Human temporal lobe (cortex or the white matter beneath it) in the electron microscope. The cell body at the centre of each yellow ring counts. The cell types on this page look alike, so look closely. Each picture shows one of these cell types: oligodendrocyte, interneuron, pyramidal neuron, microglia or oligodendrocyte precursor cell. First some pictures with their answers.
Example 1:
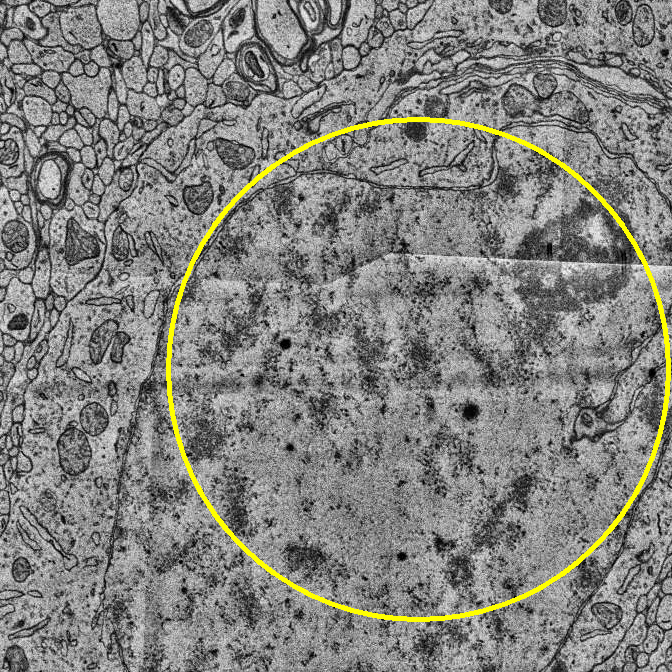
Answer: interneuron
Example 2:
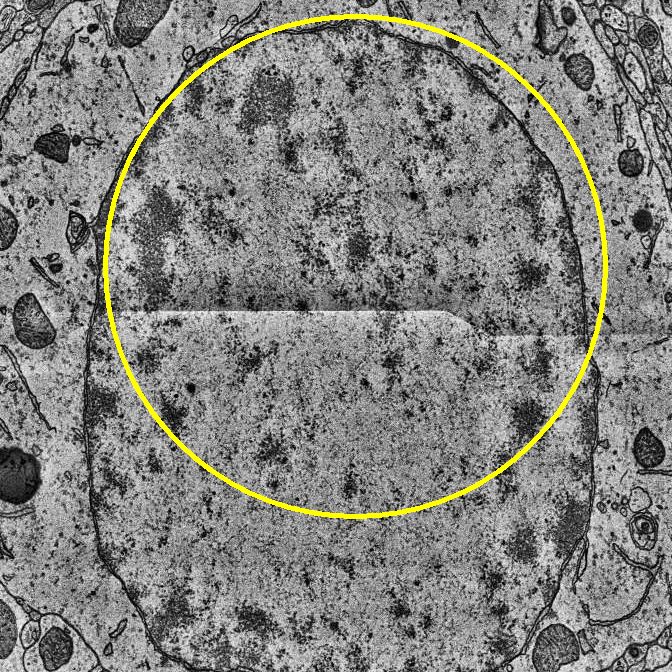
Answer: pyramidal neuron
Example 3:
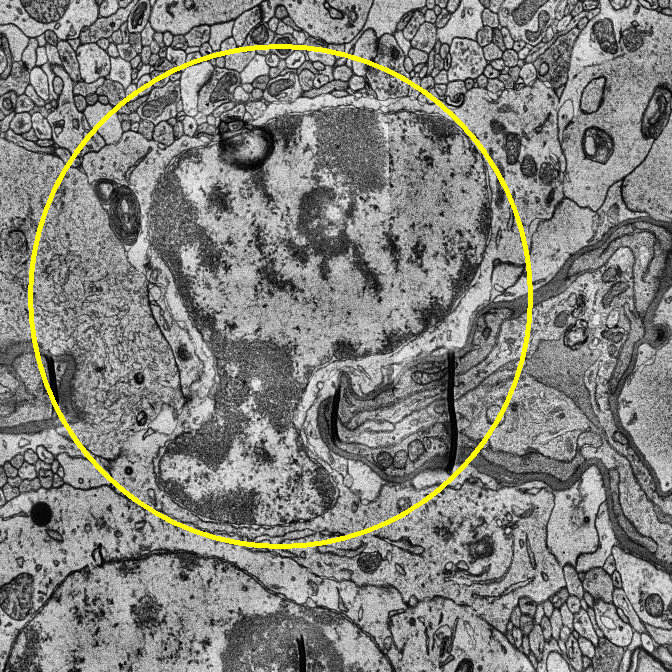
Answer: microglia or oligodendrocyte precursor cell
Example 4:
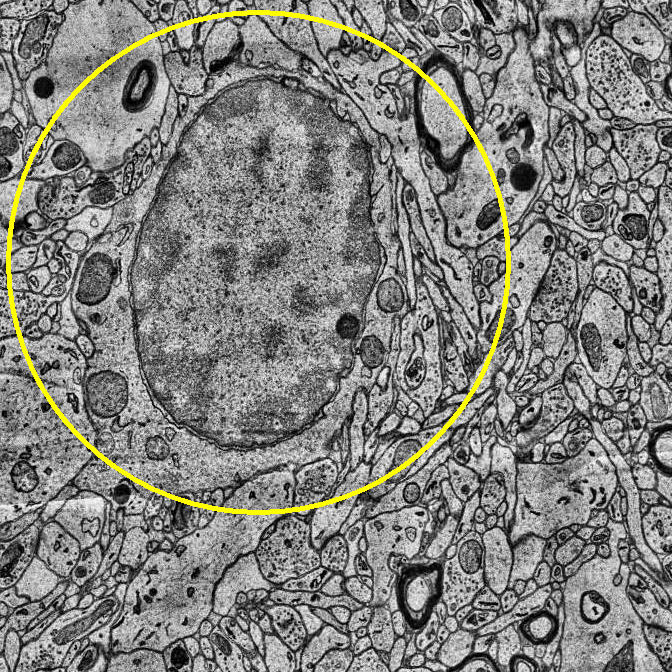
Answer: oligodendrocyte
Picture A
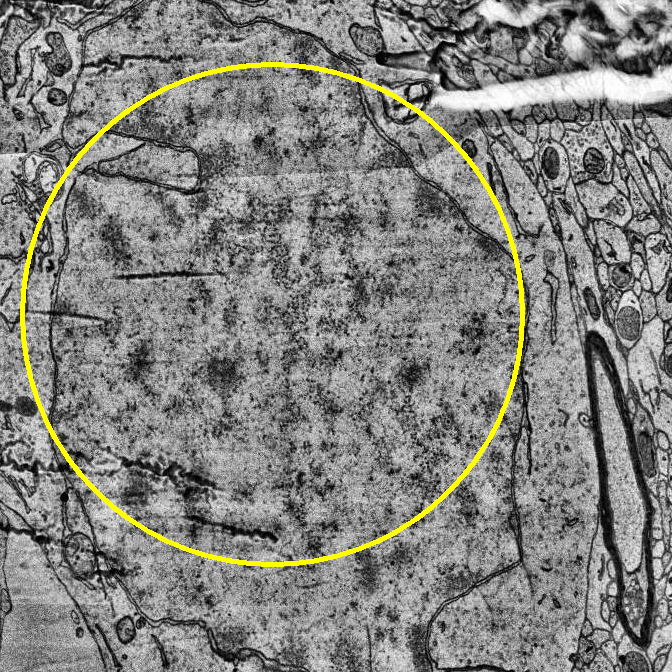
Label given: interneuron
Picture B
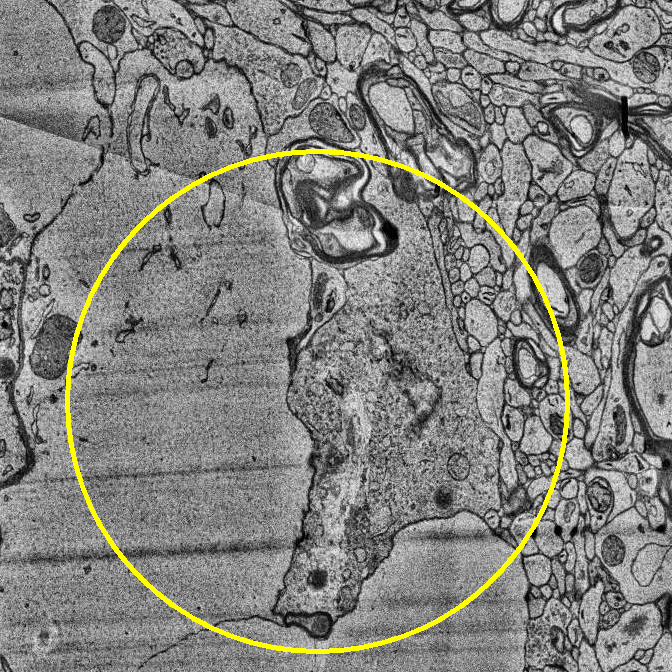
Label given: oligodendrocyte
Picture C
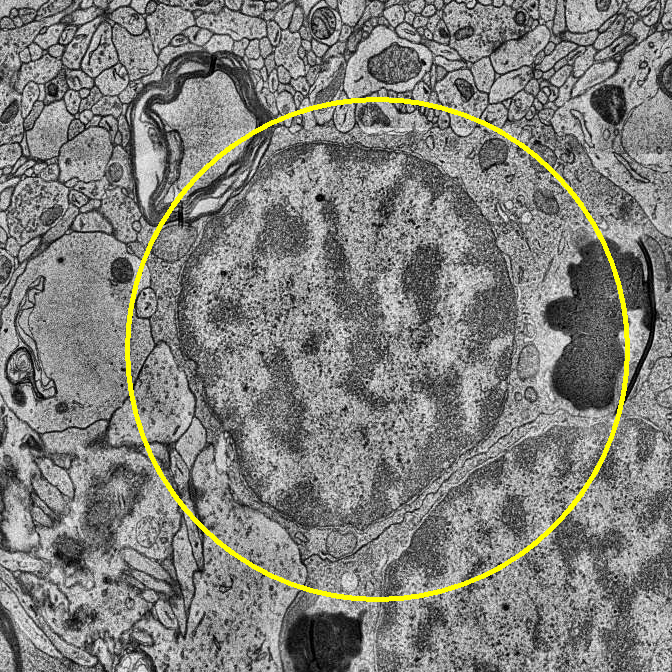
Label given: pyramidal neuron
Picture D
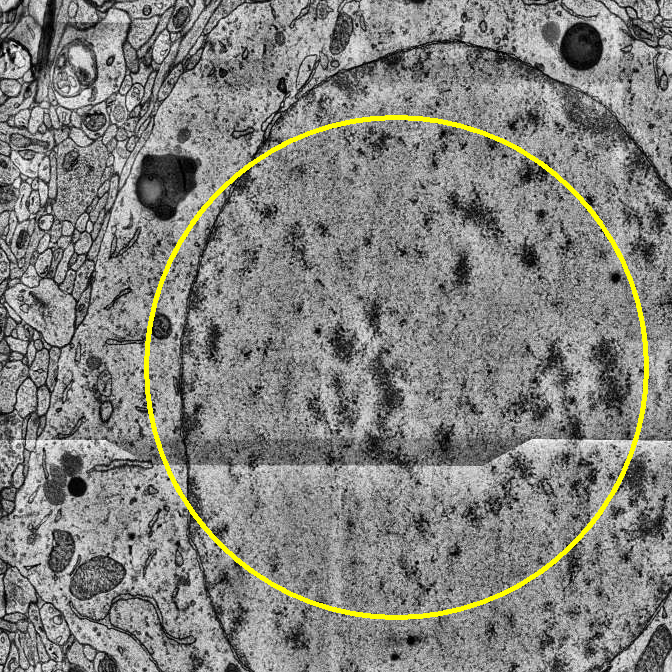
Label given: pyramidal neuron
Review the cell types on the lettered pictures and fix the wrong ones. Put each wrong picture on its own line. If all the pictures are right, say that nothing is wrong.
C is labelled pyramidal neuron; correct label: oligodendrocyte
